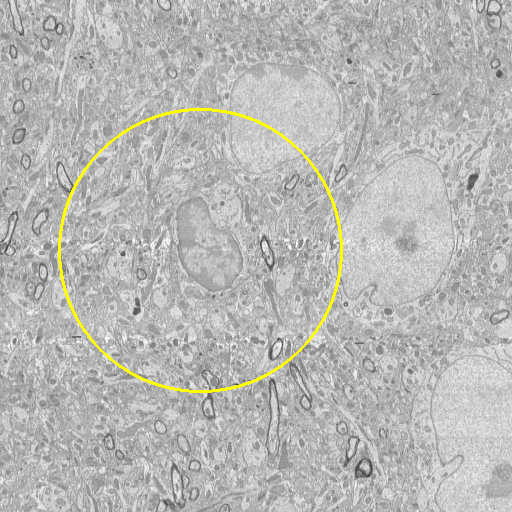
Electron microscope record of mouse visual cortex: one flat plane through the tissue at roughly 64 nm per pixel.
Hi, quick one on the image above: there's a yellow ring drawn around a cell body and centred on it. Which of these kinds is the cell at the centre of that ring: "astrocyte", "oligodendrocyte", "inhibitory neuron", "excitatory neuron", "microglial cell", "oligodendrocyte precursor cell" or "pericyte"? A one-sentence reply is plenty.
The cell at the centre of the ring is a microglial cell.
